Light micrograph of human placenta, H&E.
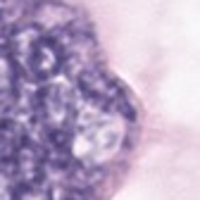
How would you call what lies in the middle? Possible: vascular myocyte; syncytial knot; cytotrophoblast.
I would call it a syncytial knot.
